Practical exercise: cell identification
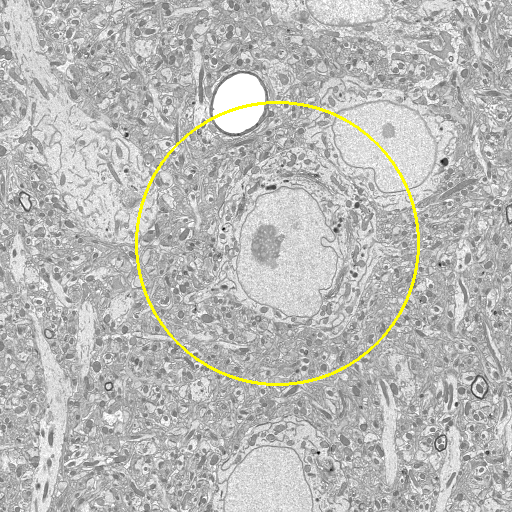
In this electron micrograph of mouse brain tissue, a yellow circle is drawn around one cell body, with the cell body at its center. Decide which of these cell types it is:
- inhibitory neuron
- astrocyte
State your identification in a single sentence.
The ringed cell is an inhibitory neuron.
